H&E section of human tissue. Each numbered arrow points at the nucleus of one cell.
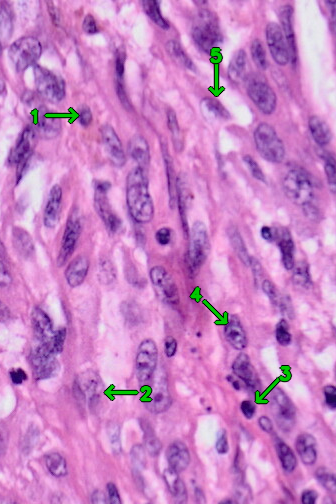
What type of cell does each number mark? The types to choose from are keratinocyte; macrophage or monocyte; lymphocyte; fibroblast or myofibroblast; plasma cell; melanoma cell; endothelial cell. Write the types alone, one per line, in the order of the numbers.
macrophage or monocyte
melanoma cell
lymphocyte
melanoma cell
melanoma cell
